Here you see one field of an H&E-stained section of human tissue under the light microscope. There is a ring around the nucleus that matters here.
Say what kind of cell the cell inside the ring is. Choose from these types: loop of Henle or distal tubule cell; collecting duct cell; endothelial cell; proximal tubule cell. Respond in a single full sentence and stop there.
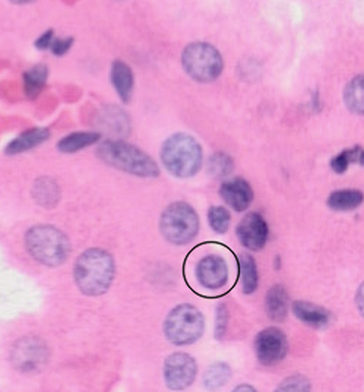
The correct response here is that the cell inside the ring is a collecting duct cell.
